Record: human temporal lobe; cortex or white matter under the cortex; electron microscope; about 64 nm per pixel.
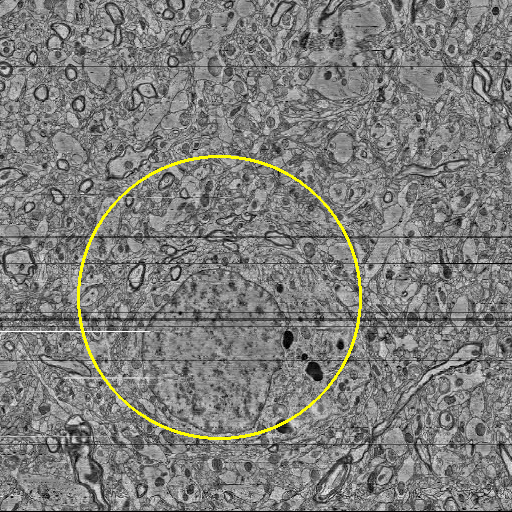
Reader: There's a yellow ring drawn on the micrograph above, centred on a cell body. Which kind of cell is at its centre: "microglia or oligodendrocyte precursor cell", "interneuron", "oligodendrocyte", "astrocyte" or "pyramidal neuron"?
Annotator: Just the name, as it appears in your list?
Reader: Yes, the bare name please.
interneuron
